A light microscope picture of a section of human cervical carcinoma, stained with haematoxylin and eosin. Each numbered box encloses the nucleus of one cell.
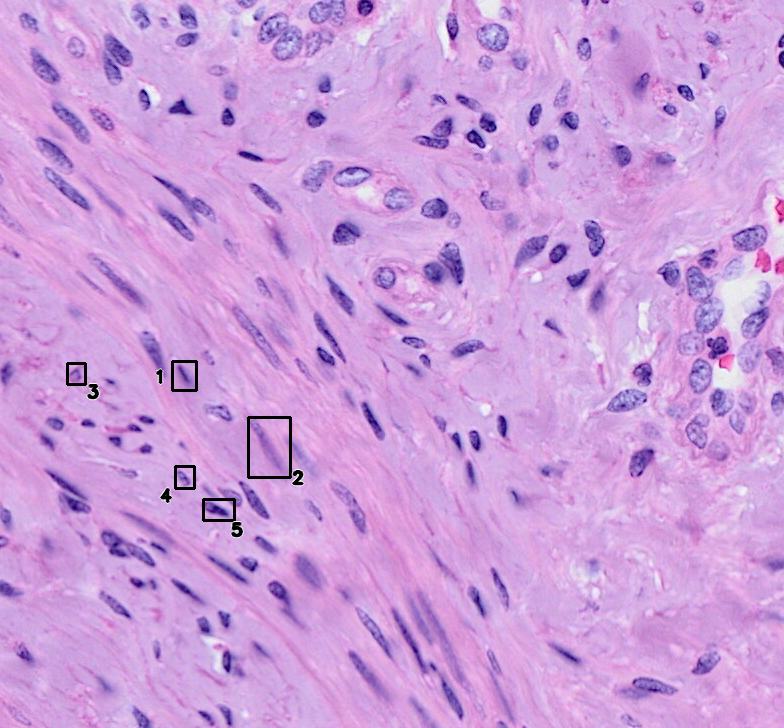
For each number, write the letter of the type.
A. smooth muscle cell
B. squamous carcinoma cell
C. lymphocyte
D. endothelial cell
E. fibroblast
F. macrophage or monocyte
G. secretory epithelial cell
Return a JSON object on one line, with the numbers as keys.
{"1": "E", "2": "A", "3": "A", "4": "E", "5": "E"}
